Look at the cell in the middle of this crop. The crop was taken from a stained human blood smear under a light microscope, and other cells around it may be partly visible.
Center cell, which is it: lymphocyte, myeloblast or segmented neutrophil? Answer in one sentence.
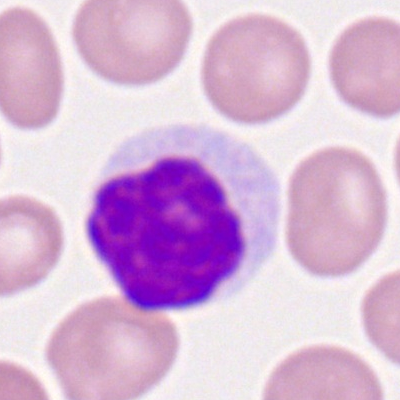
The cell at the middle of the frame should be recorded as a lymphocyte.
